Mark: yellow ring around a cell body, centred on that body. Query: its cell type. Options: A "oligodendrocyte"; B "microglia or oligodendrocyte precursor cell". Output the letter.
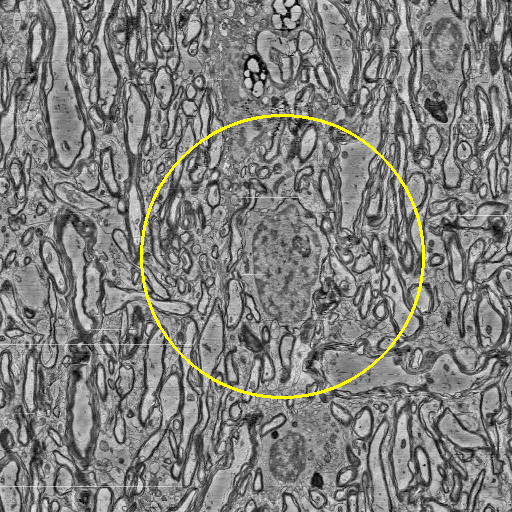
A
